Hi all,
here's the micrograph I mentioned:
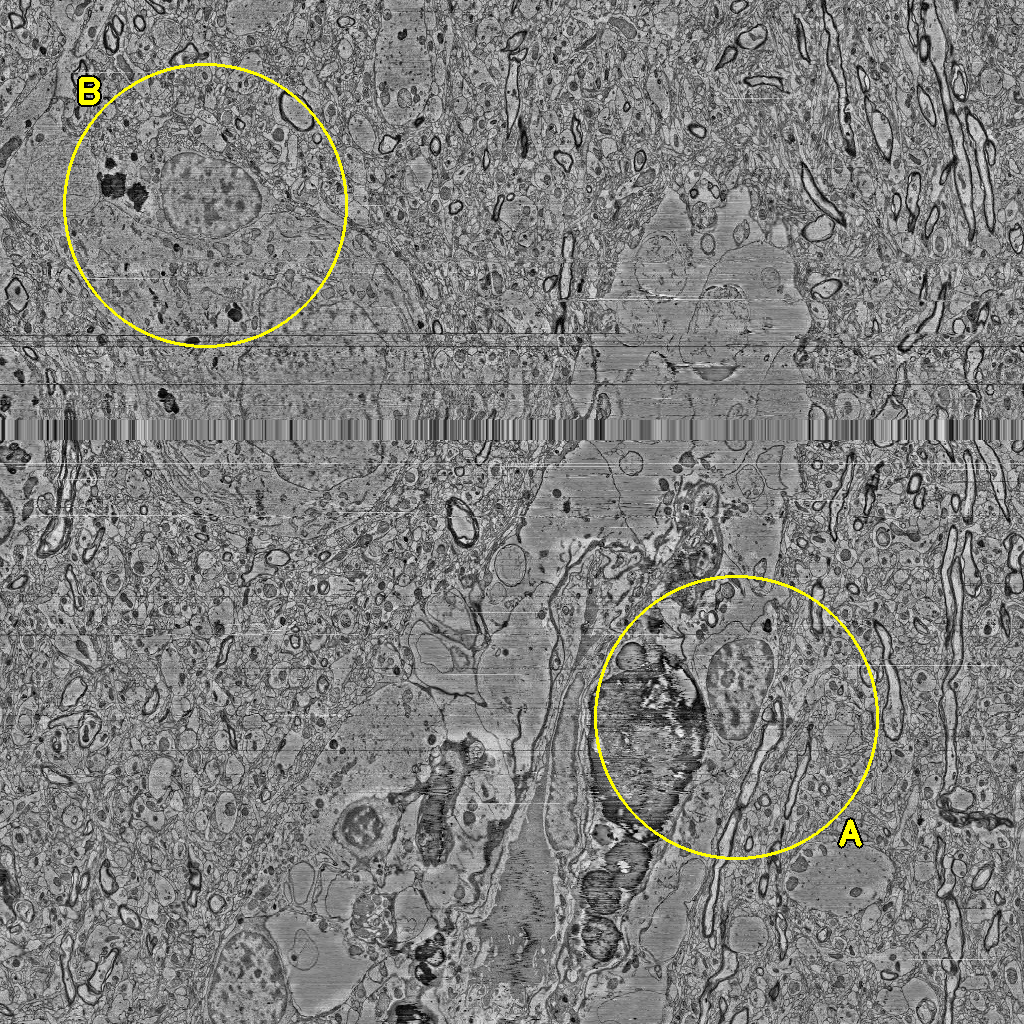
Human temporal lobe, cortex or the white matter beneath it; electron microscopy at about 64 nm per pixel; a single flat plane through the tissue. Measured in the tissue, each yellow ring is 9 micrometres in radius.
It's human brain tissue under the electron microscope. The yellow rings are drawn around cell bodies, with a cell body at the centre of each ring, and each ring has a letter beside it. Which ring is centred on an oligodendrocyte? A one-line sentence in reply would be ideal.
It's the one labelled B.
